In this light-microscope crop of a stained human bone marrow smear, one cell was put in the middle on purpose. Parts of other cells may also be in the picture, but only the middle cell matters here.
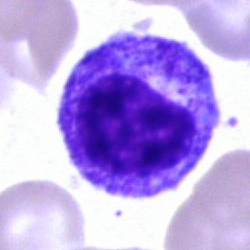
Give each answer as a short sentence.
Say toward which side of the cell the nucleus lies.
The nucleus sits off-centre, toward the lower left.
